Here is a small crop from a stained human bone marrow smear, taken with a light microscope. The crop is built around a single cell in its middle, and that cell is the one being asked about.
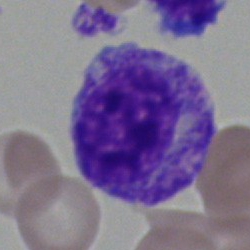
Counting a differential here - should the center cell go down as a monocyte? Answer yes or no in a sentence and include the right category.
No, the centrally placed cell is a myelocyte, not a monocyte.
